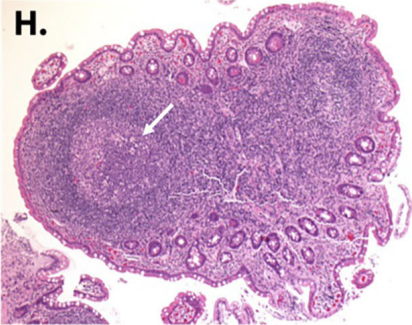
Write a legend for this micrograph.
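A polypoid nodule of intestinal mucosa is expanded by enlarged lymphoid follicles composed of densely packed small lymphocytes with dark nuclei. Within the lymphoid mass a paler rounded centre stands out against the darker surrounding cells, while scattered glands and a surface epithelium line the nodule's edge.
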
